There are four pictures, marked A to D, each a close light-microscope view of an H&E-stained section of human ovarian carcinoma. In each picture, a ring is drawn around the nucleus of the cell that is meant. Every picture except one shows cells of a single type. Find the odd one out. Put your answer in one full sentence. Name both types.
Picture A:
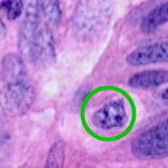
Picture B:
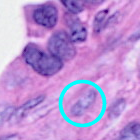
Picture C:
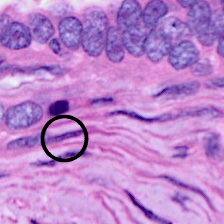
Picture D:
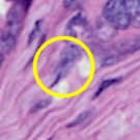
Unlike the rest, which show fibroblasts, picture A shows a “macrophage or monocyte”.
